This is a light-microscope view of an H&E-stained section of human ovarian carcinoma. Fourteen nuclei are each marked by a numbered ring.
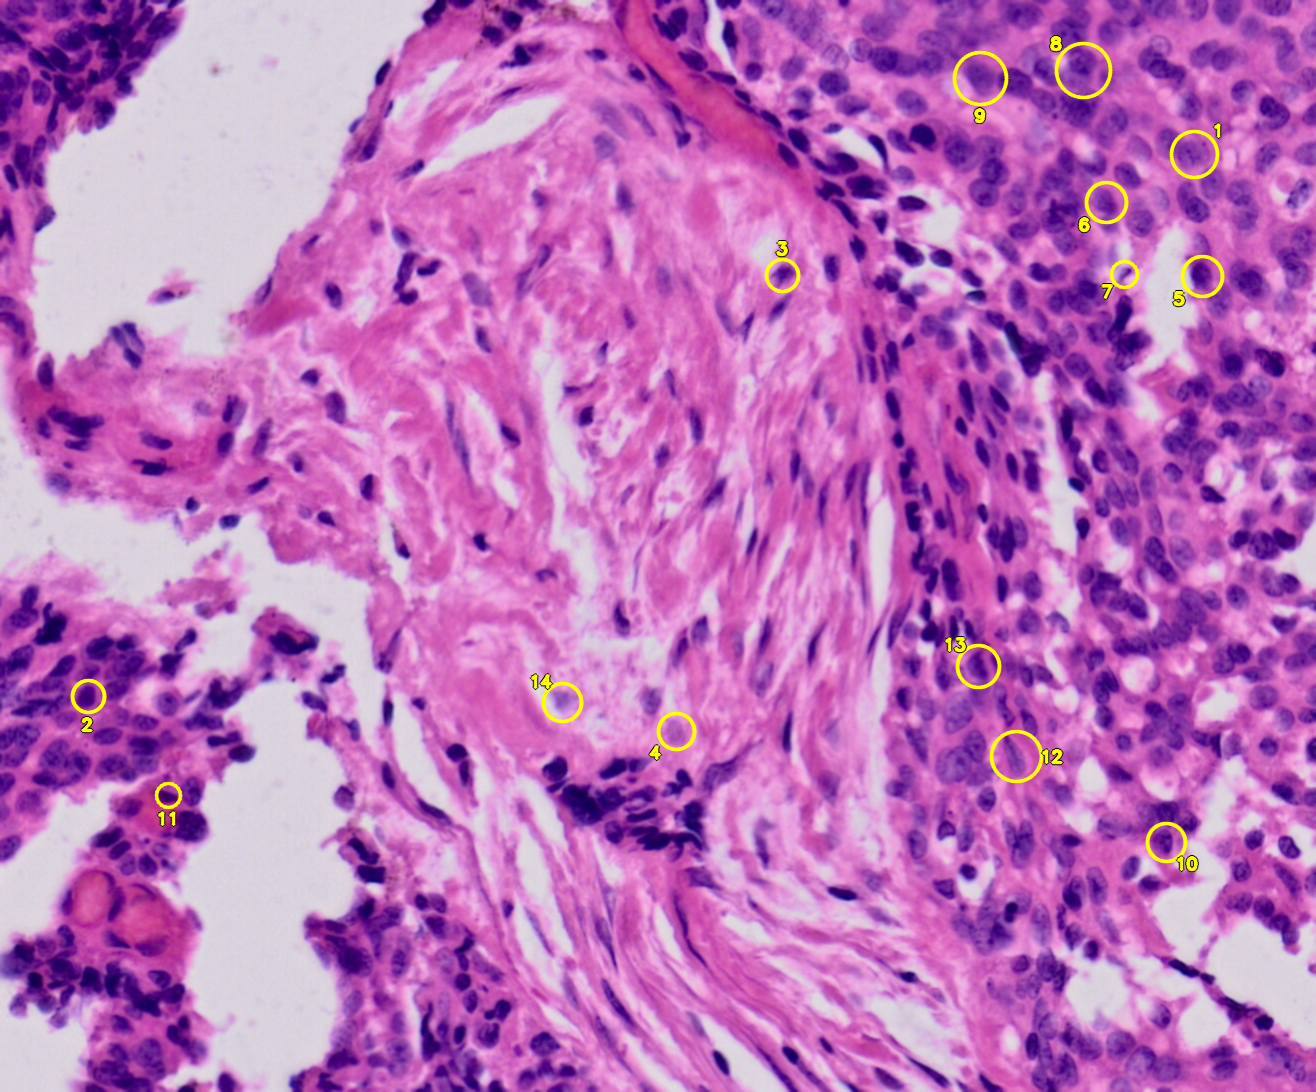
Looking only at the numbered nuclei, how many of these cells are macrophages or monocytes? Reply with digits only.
1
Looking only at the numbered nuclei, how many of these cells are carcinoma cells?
8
